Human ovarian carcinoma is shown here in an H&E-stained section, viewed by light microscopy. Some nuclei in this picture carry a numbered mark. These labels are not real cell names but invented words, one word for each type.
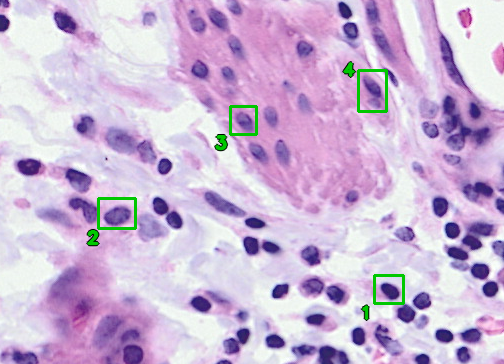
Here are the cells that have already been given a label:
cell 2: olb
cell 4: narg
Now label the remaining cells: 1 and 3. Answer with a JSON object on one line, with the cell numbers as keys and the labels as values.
{"1": "olb", "3": "narg"}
